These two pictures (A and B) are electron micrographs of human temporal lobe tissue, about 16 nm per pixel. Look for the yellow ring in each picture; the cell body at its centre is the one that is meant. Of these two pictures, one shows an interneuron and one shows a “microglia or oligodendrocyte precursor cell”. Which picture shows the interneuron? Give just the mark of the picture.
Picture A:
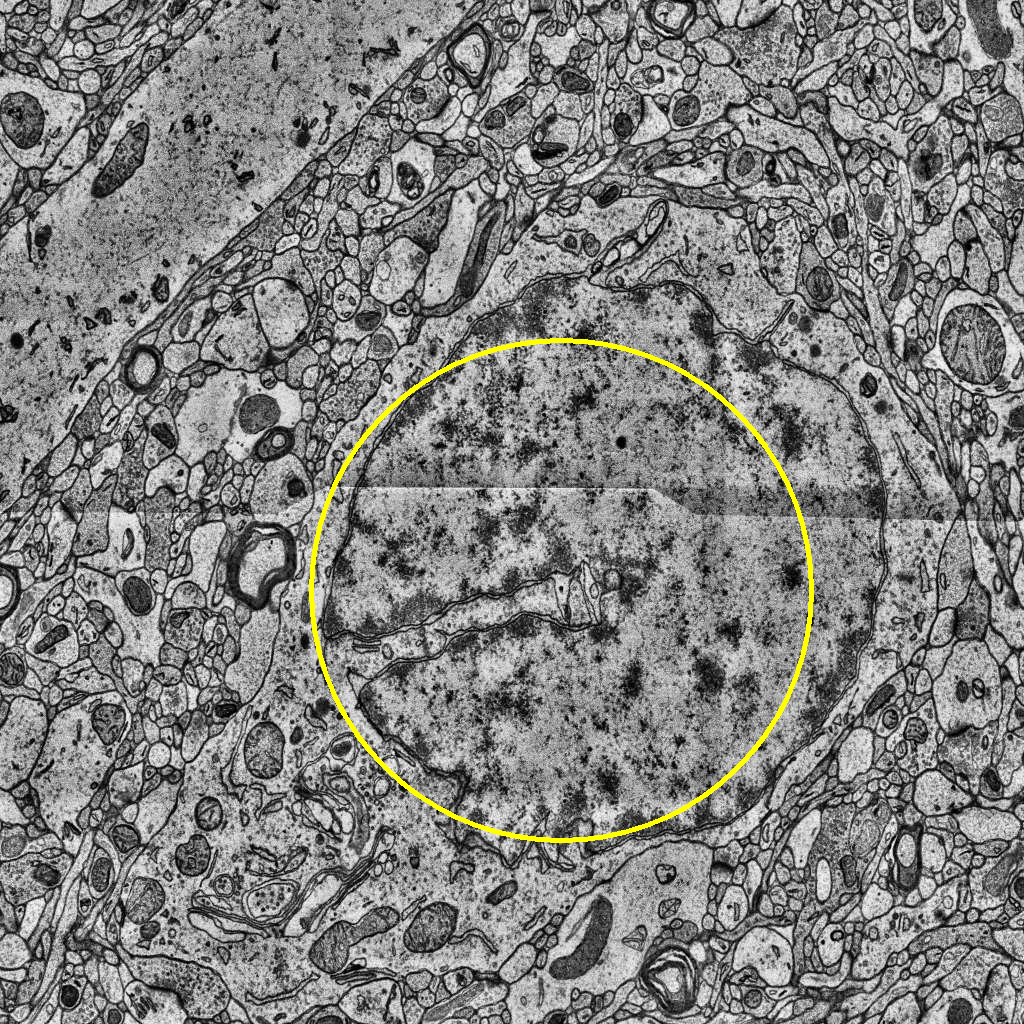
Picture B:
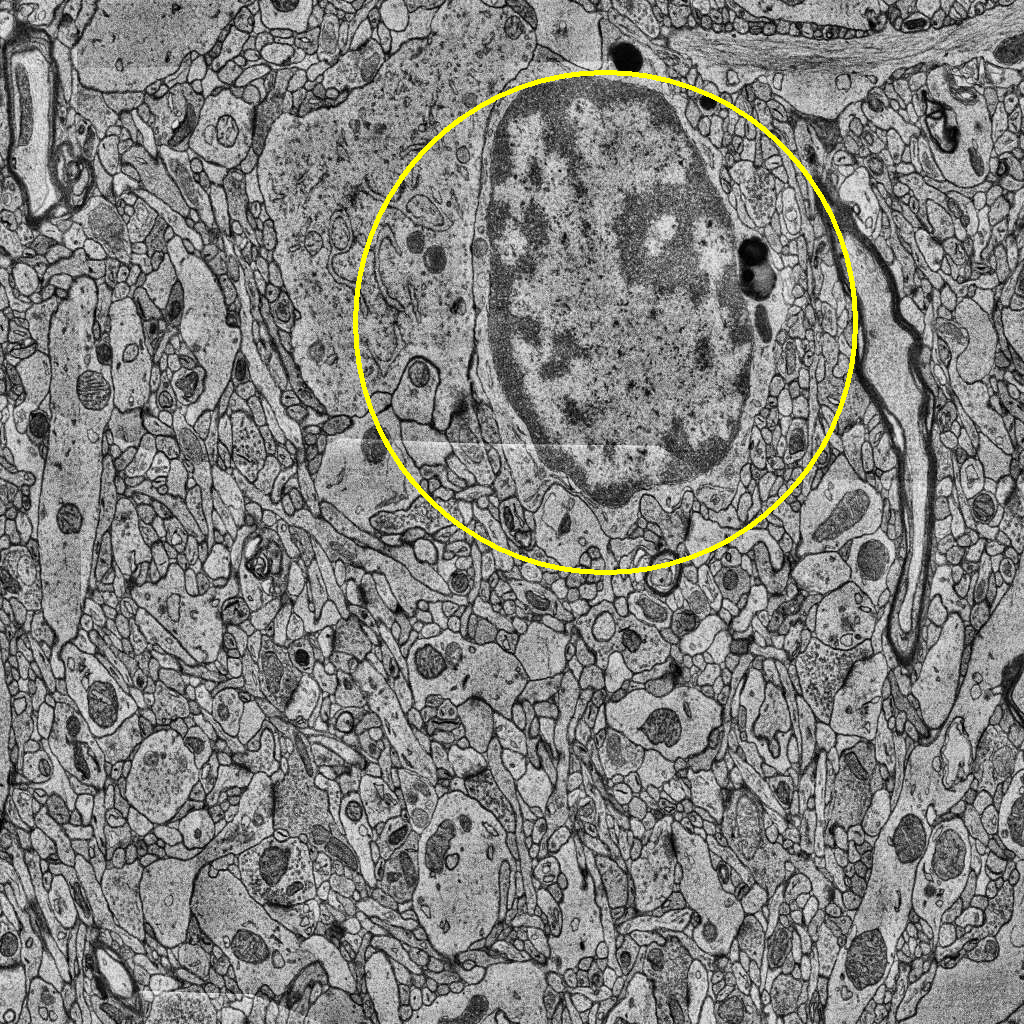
A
